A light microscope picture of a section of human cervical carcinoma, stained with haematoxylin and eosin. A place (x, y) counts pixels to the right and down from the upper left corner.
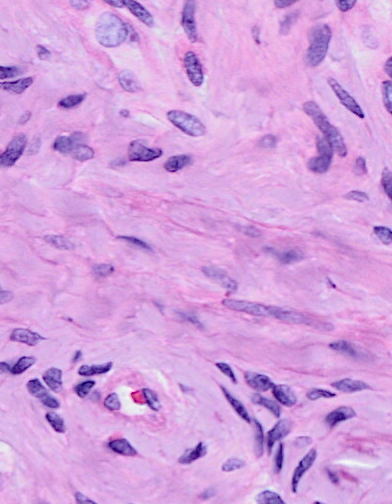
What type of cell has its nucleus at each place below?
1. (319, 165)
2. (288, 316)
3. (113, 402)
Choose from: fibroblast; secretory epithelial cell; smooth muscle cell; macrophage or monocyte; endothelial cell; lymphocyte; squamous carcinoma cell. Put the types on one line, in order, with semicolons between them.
fibroblast; smooth muscle cell; endothelial cell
